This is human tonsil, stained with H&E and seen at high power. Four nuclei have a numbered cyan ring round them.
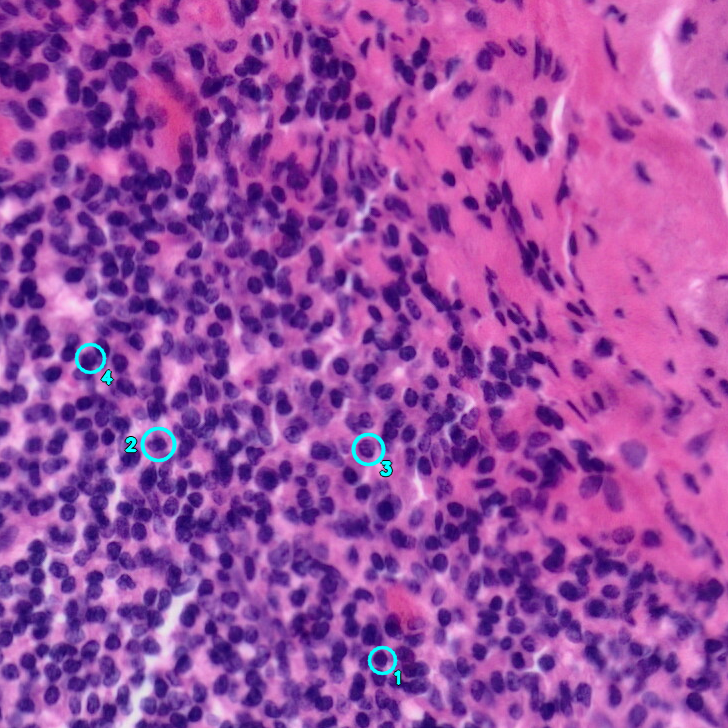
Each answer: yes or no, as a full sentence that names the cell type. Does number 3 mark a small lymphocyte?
No, number 3 is assigned to a plasma cell, not to a small lymphocyte.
